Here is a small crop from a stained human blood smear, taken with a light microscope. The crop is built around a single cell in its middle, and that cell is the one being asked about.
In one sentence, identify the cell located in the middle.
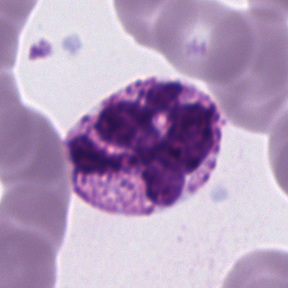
Occupying the centre of the crop is a basophil.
